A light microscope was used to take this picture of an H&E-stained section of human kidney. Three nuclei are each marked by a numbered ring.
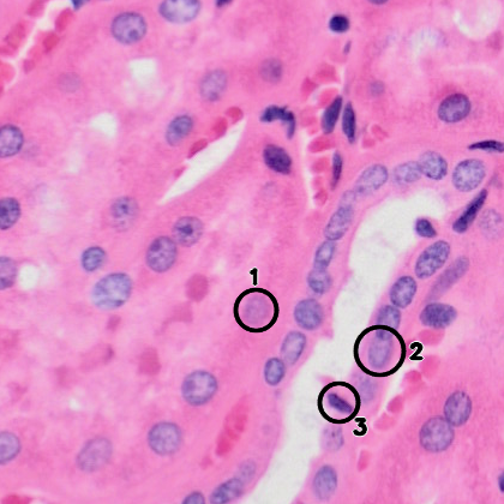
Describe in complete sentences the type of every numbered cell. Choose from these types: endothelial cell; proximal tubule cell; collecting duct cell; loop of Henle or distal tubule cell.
Cell 1 is a proximal tubule cell. Cells 2 and 3 are collecting duct cells.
